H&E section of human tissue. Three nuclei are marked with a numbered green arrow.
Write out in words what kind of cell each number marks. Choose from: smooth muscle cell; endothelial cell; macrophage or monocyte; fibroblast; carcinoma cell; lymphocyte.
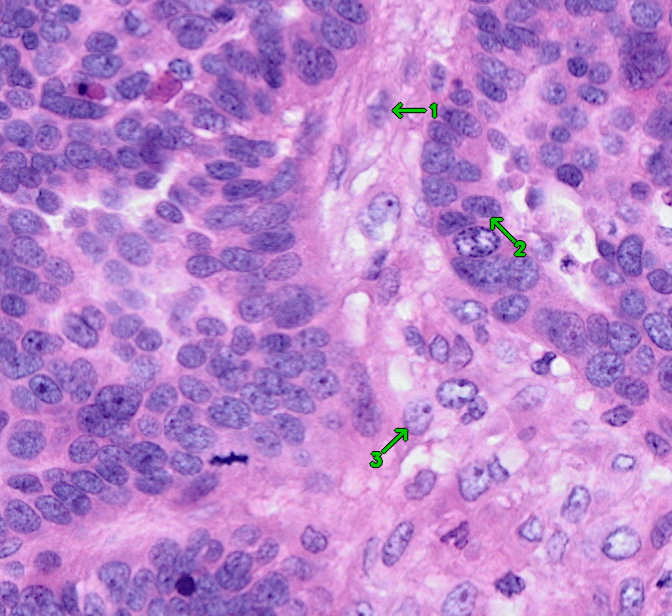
Cell 1 is a fibroblast, cell 2 is a carcinoma cell and cell 3 is a fibroblast.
